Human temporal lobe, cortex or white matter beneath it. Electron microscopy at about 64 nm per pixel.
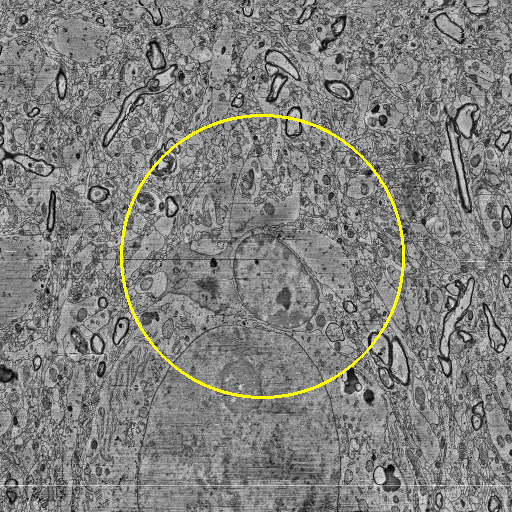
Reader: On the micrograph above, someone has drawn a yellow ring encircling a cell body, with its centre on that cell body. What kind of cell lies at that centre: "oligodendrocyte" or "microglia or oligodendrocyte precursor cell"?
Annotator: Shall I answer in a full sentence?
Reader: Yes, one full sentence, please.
Here an oligodendrocyte sits at the centre of the yellow ring drawn on the micrograph.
